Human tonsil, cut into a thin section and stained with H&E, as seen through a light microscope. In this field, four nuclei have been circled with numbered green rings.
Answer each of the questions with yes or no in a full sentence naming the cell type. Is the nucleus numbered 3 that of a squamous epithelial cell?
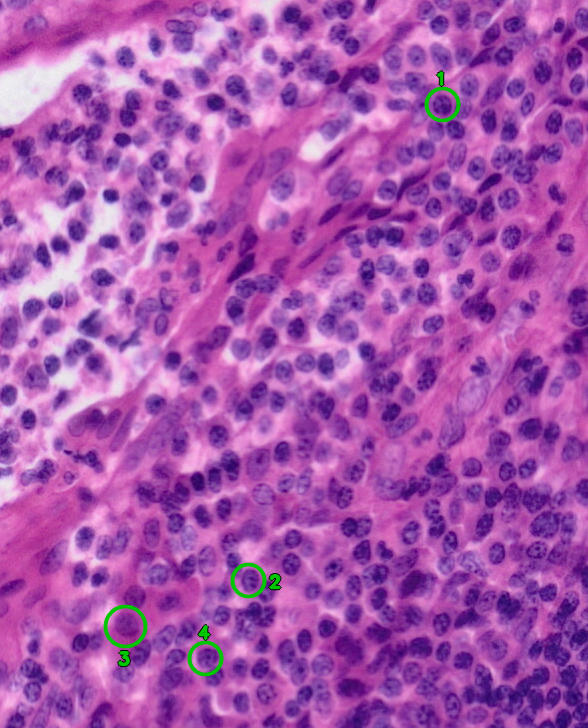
Yes, number 3 in this section denotes a squamous epithelial cell.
